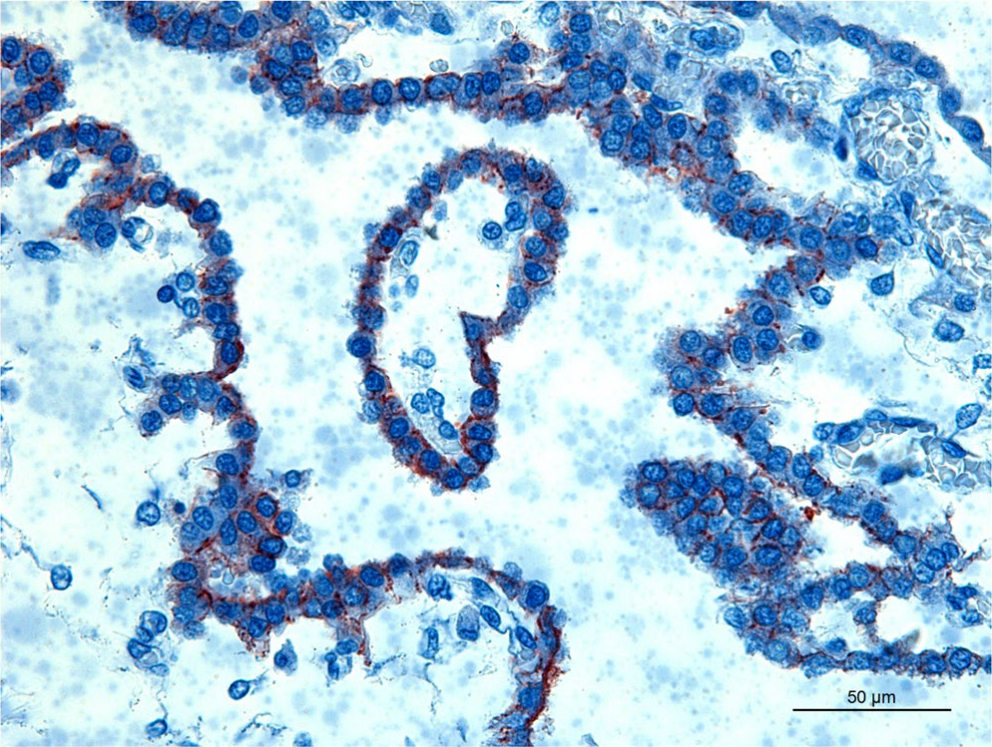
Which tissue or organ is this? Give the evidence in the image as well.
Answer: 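Branching, folded fronds of tissue float in an open space. Each frond is covered by a single layer of cuboidal cells with round nuclei. Thin cores of the fronds hold small vessels with red blood cells.
Choroid plexus.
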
